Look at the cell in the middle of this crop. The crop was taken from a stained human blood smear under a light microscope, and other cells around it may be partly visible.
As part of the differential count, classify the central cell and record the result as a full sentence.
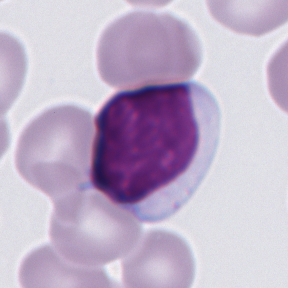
At the center of the crop sits a large granular lymphocyte.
